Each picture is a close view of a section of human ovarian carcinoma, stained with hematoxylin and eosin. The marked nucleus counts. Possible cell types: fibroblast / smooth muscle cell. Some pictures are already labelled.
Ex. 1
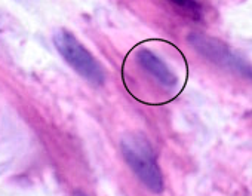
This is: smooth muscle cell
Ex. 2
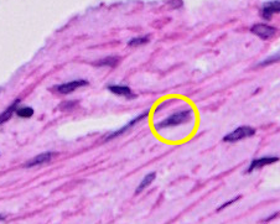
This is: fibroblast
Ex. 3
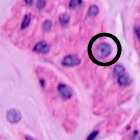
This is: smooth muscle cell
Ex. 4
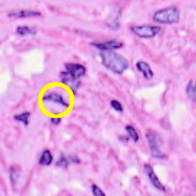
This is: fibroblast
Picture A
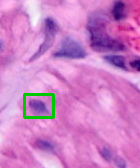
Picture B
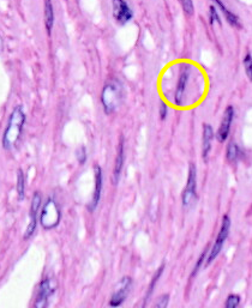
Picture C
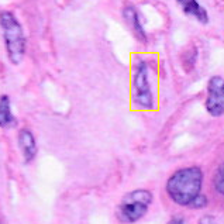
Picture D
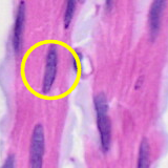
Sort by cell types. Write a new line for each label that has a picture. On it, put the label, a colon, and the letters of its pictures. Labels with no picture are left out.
fibroblast: B, C
smooth muscle cell: A, D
